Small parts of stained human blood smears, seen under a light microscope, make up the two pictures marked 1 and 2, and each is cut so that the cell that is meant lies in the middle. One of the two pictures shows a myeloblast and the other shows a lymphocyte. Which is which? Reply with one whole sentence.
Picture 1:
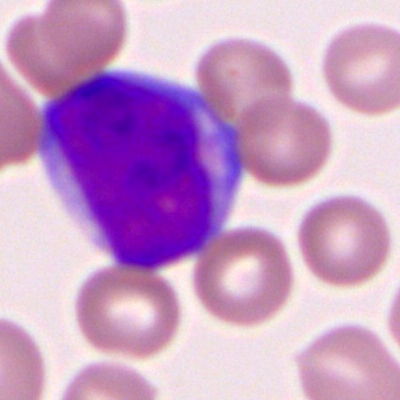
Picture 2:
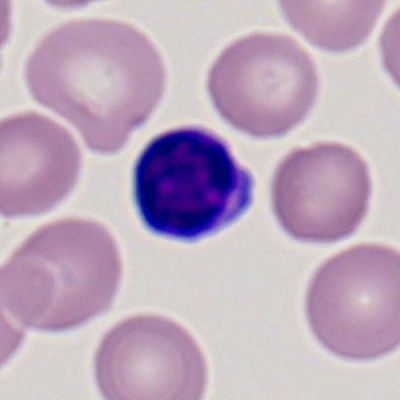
Picture 1 is of a myeloblast, and picture 2 is of a lymphocyte.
